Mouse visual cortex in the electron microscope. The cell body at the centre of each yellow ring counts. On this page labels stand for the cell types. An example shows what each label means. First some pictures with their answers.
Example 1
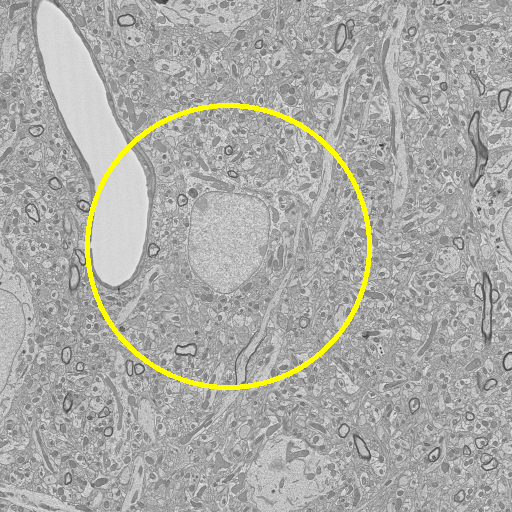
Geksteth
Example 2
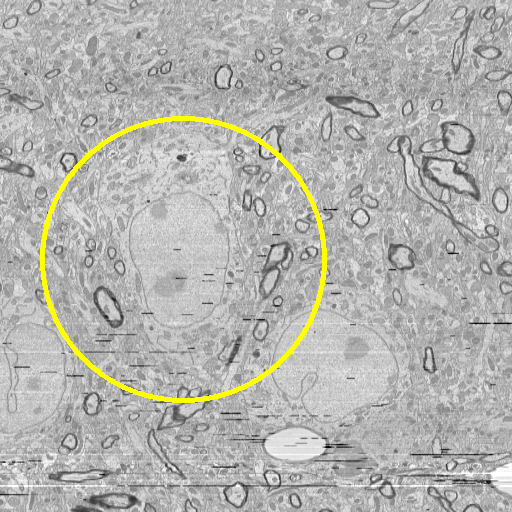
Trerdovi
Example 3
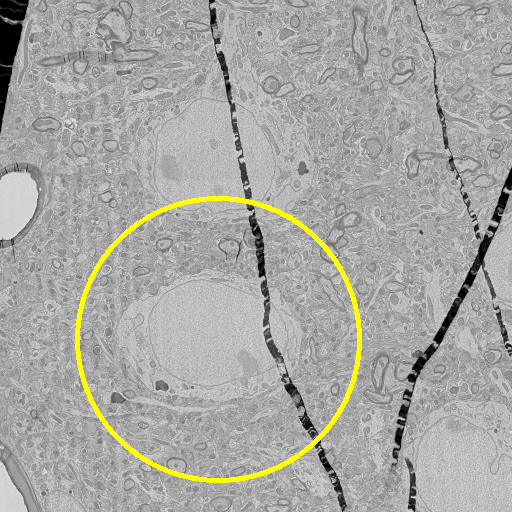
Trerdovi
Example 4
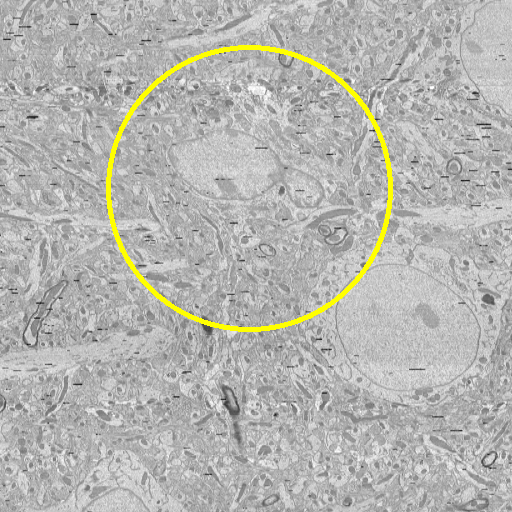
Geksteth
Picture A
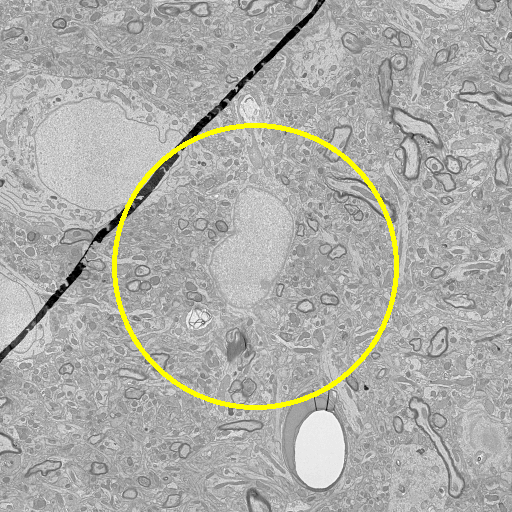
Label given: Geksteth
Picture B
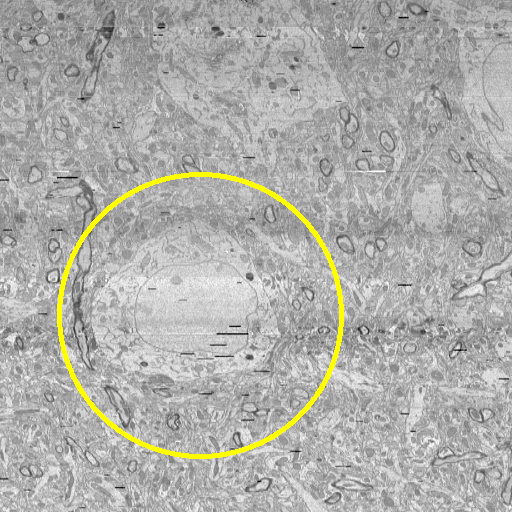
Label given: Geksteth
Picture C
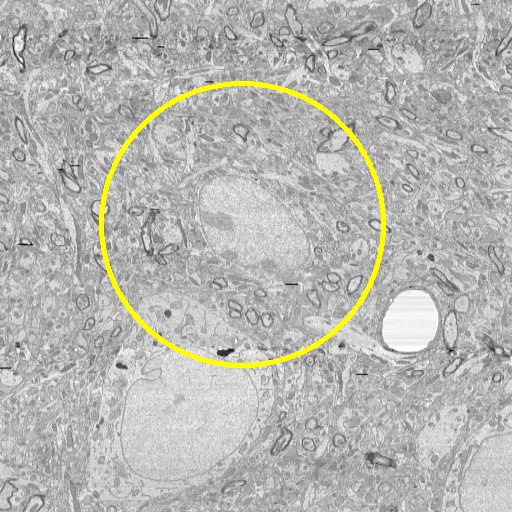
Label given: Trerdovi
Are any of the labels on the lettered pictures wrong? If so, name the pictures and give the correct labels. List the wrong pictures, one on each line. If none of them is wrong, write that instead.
B: change Geksteth to Trerdovi
C: change Trerdovi to Geksteth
